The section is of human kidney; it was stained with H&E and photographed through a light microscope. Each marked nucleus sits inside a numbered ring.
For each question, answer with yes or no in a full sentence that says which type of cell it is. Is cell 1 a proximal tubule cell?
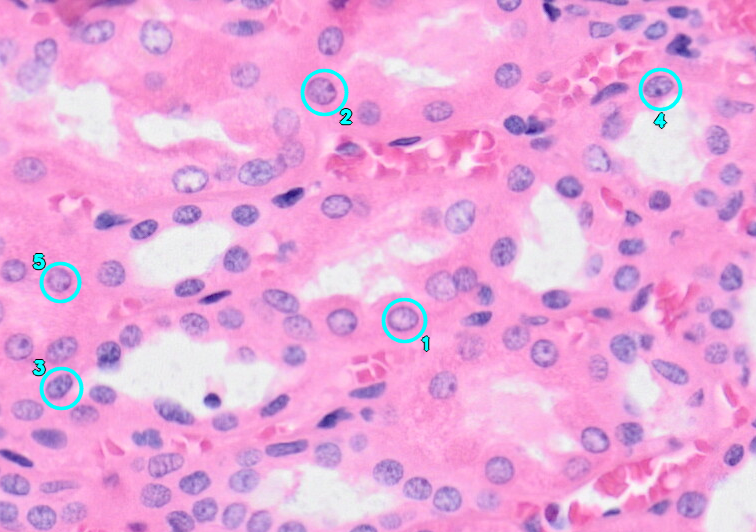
Yes, the one with the number 1 is a proximal tubule cell.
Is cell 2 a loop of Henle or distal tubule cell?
No, that is wrong: cell 2 is a proximal tubule cell, and not a loop of Henle or distal tubule cell.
